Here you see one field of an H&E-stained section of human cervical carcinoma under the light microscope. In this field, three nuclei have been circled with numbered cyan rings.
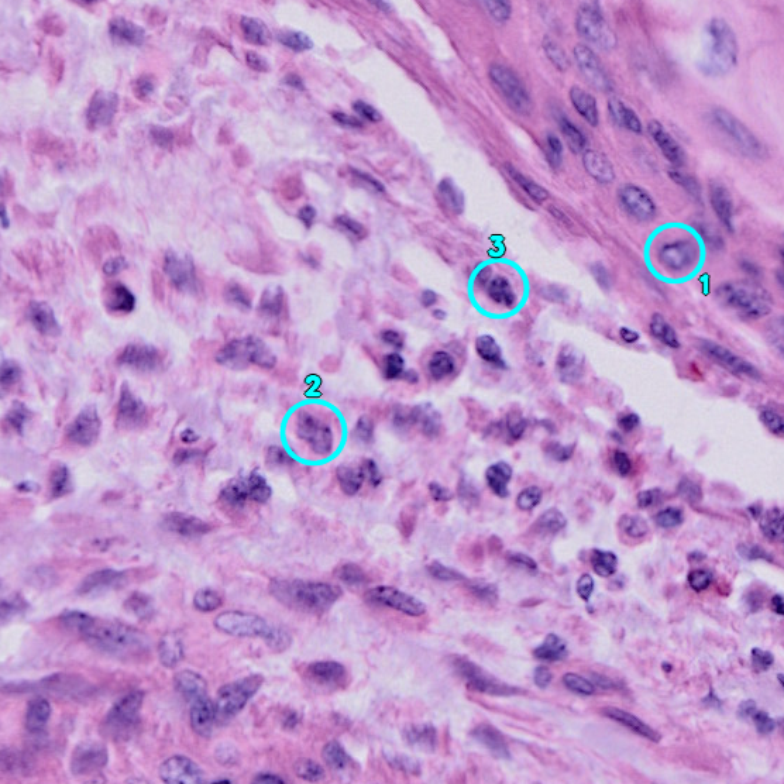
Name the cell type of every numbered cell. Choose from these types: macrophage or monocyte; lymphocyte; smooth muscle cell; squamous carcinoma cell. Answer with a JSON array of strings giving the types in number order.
["squamous carcinoma cell", "macrophage or monocyte", "lymphocyte"]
